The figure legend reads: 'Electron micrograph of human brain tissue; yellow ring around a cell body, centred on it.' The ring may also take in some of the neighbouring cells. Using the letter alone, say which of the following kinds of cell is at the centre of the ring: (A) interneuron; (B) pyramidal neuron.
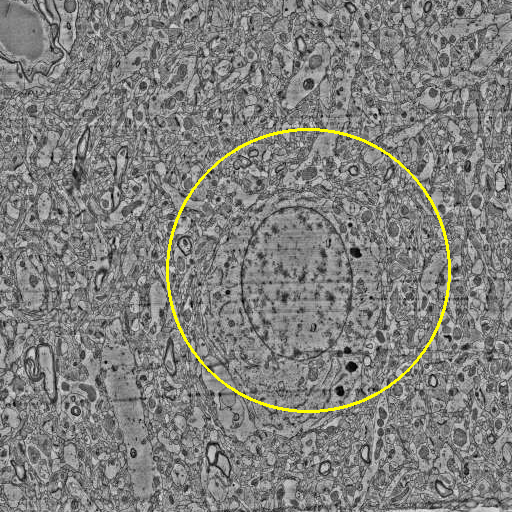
B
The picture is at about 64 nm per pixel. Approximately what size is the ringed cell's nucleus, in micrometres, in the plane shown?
The ringed cell's nucleus is about 10 micrometres long and 7 micrometres wide in this plane.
